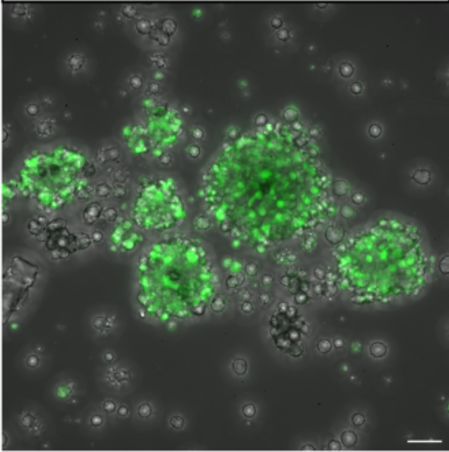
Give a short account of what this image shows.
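Several rounded multicellular clusters of varying size fill the centre, densely packed with green-fluorescent cells; the largest cluster has a darker, denser core. Around and between the clusters lie many small, round, single grey cells without green fluorescence, scattered loosely over the dish floor, some touching the cluster edges. A few small dark, non-fluorescent aggregates sit among them. Occasional isolated green cells lie apart from the clusters. No tissue architecture; cells are in suspension-like three-dimensional aggregates.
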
